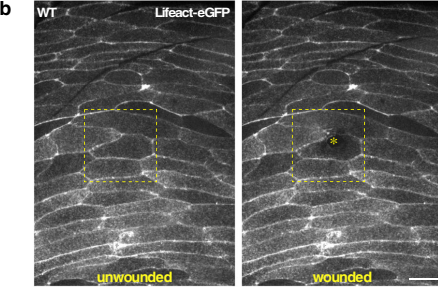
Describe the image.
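This is a low-power view of a monolayered epithelium made of long, flat, polygonal cells lying side by side in rows. Their borders are bright lines, while their interiors are a dimmer, faintly speckled grey.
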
